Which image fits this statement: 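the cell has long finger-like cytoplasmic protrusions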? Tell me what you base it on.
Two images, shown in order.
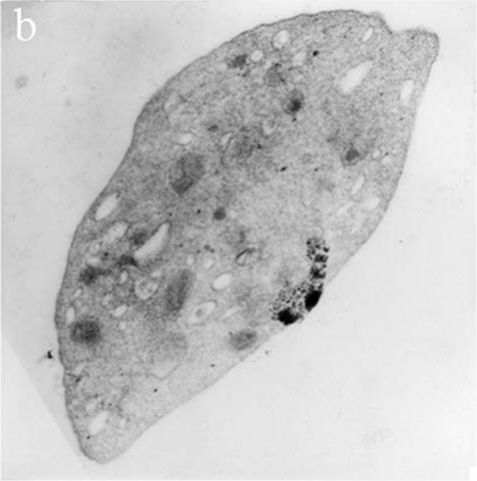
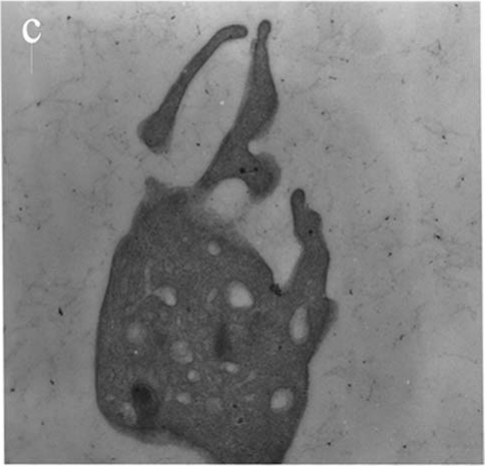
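First image: the cell has a smooth, lens-shaped outline without projections. Second image: several long slender projections extend from the cell body.
Hence: the second image.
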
